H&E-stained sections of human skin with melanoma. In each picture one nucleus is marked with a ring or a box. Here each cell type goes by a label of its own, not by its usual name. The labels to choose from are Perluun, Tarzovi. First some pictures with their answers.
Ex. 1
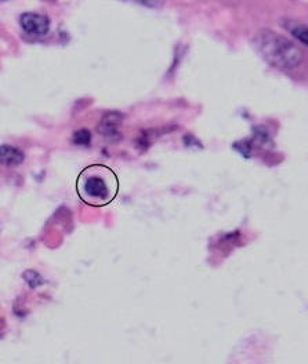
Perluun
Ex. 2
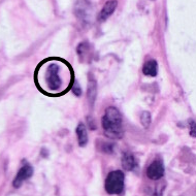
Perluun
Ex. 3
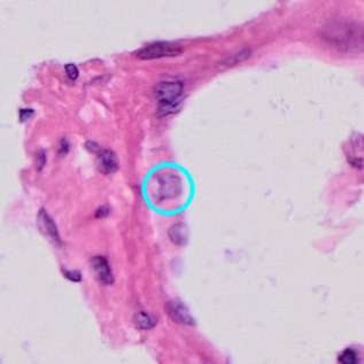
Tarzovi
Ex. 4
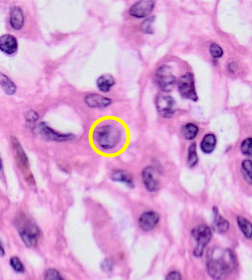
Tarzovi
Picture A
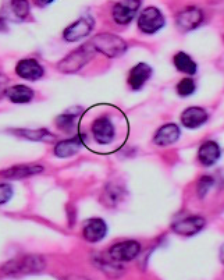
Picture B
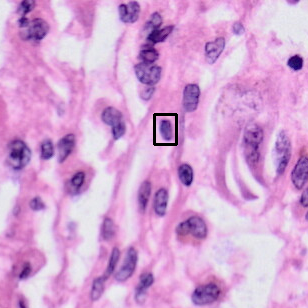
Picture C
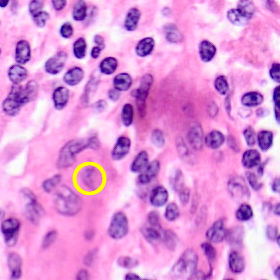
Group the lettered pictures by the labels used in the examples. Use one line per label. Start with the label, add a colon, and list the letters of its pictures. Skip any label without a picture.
Perluun: A, B
Tarzovi: C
